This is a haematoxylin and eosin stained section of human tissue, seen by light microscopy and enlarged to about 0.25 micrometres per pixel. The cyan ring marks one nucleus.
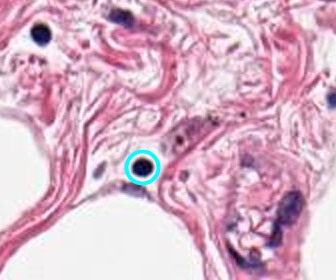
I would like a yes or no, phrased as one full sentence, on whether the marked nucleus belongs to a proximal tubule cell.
No, a supporting cell, not a proximal tubule cell, carries the marked nucleus.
